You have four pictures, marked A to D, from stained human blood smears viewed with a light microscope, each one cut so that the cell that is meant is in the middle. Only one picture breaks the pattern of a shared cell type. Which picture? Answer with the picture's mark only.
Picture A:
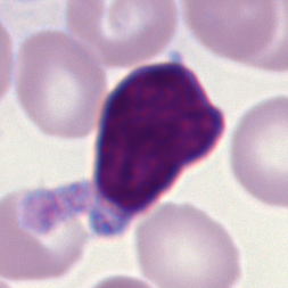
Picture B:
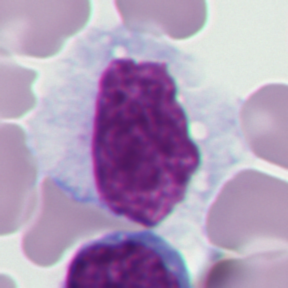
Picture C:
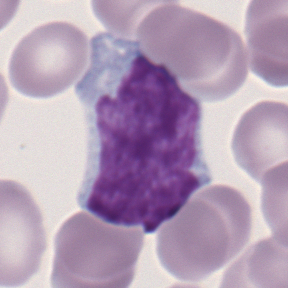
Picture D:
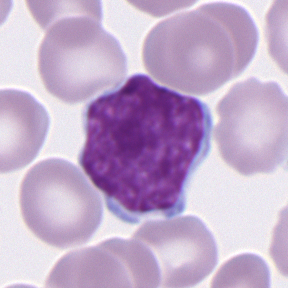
B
